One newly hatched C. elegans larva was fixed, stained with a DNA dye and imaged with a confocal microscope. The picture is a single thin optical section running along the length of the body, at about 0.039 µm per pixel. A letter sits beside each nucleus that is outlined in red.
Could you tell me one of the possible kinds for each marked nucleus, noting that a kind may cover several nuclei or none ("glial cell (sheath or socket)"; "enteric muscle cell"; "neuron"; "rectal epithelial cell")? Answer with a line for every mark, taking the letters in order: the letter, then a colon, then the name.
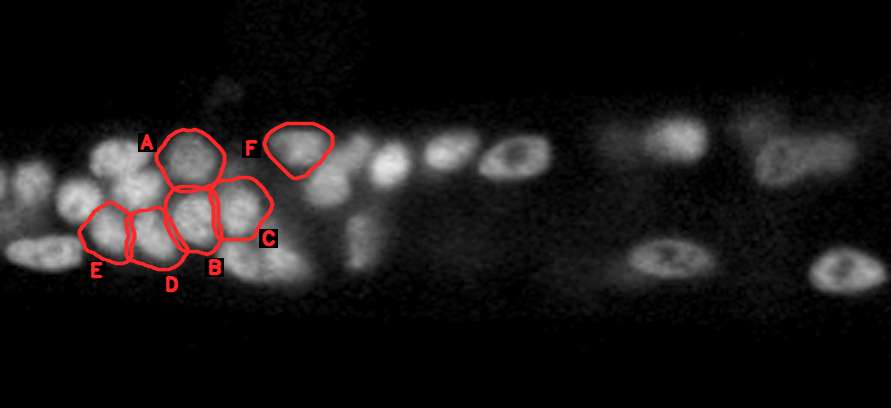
A: rectal epithelial cell
B: neuron
C: rectal epithelial cell
D: enteric muscle cell
E: neuron
F: rectal epithelial cell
